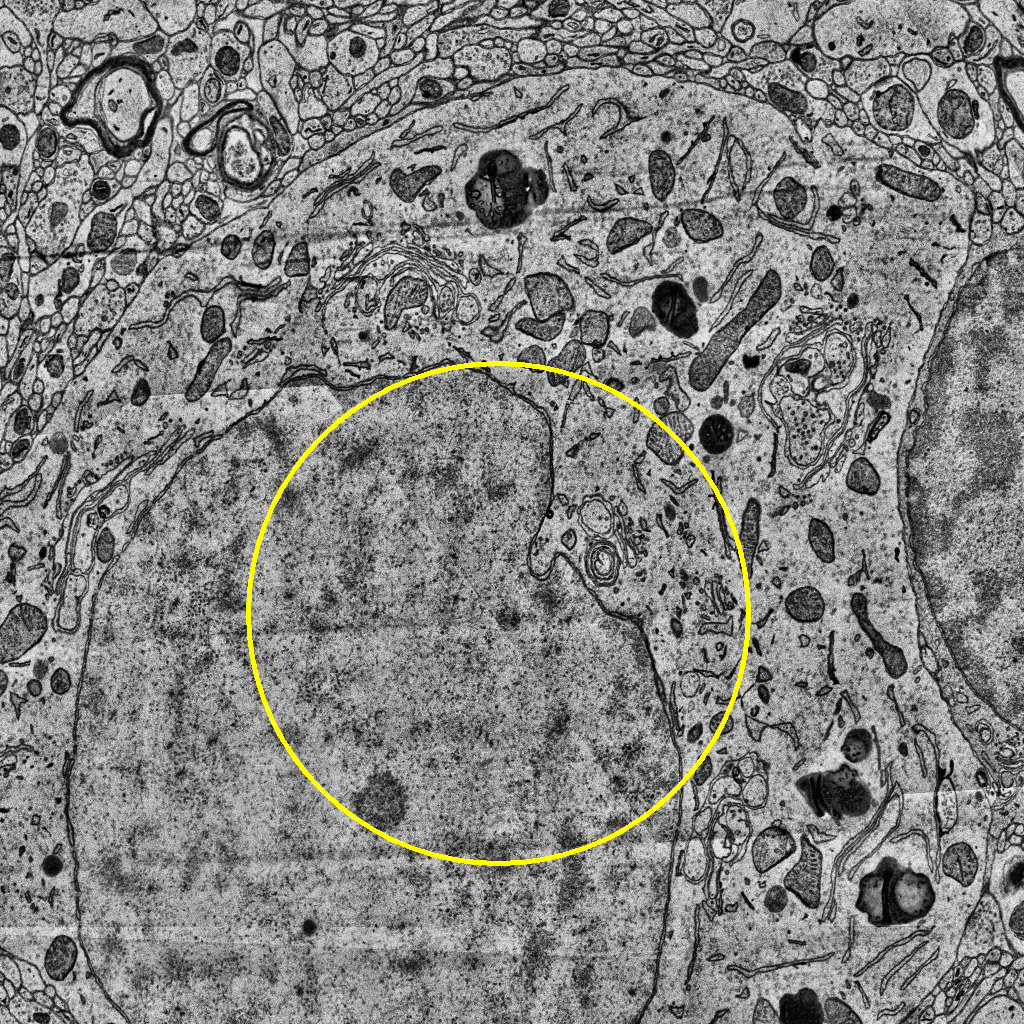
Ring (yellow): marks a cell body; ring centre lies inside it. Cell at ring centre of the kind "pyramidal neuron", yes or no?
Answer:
no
